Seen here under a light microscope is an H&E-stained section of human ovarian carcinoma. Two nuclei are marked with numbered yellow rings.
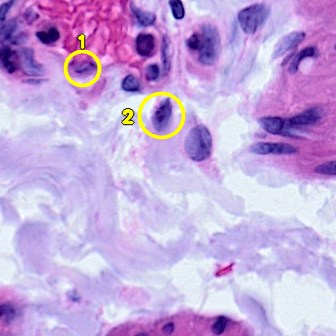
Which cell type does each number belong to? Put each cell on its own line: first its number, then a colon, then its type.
1: endothelial cell
2: fibroblast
